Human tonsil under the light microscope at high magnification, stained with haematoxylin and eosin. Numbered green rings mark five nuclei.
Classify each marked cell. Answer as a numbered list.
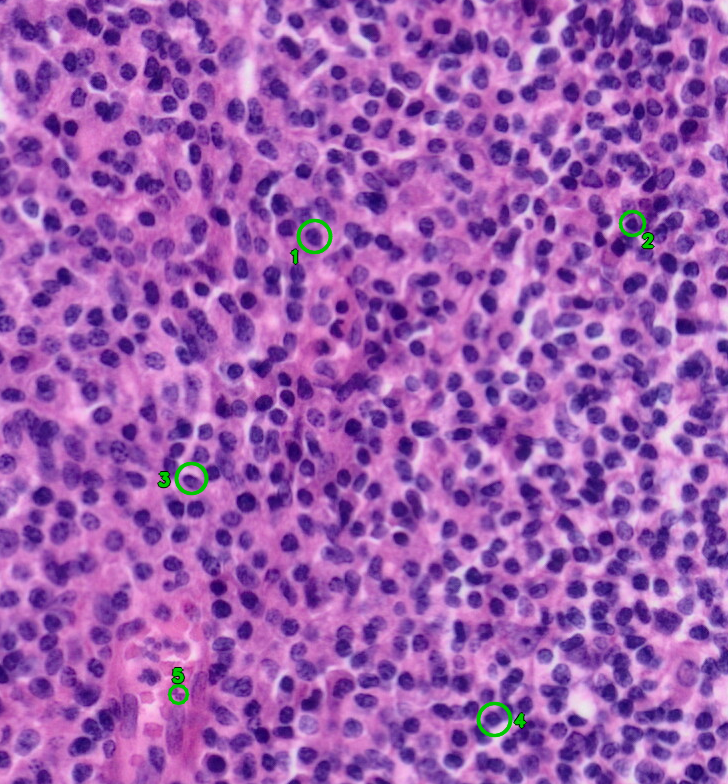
1. plasma cell
2. small lymphocyte
3. plasma cell
4. small lymphocyte
5. endothelial cell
